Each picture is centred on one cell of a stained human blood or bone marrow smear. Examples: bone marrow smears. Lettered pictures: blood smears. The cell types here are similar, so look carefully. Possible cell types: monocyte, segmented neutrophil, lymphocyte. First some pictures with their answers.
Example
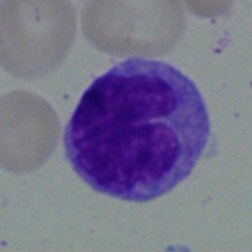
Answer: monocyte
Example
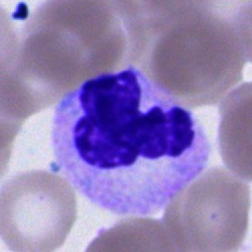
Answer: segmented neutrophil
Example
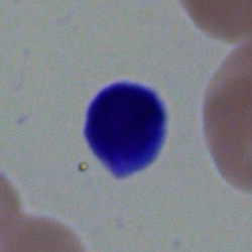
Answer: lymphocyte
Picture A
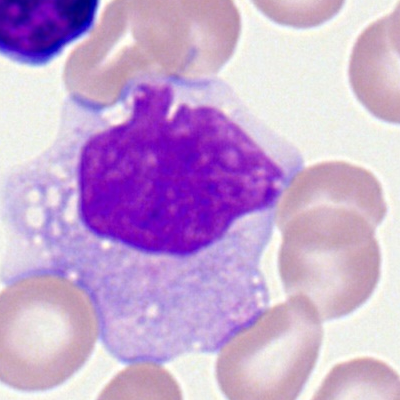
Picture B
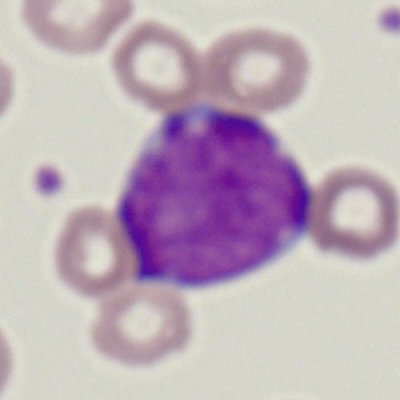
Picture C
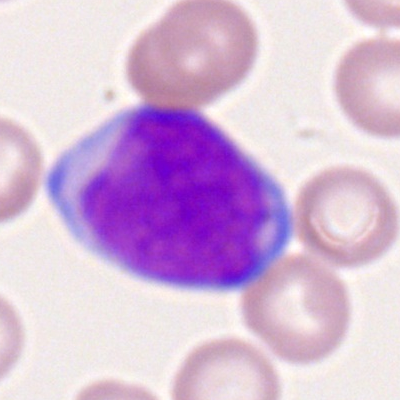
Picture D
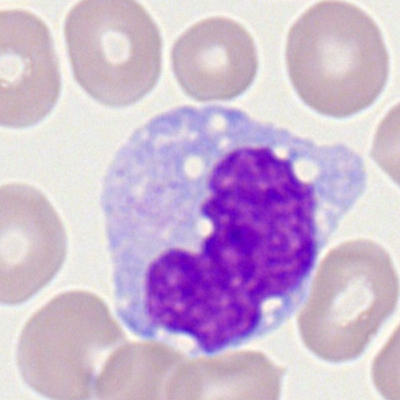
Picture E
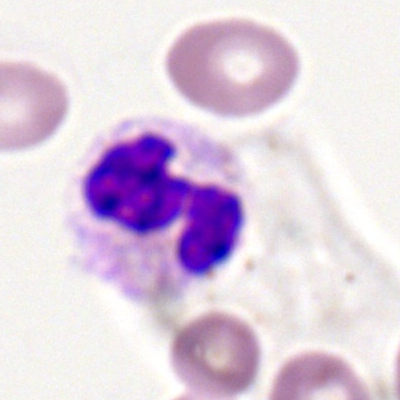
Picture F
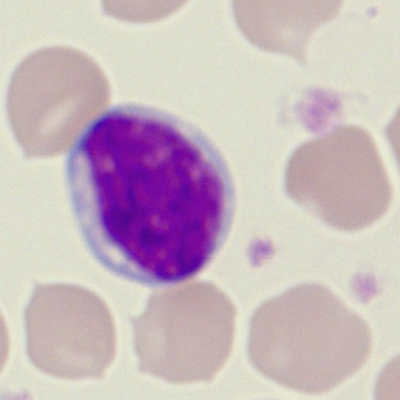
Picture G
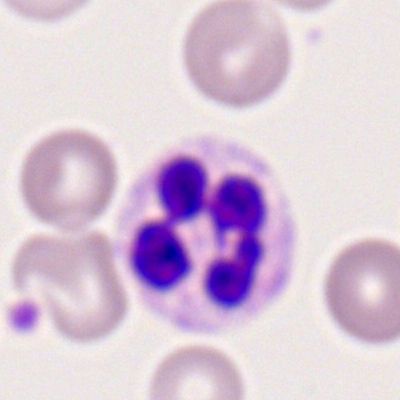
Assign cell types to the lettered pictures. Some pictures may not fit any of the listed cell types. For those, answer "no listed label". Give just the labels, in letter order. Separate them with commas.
monocyte, no listed label, no listed label, monocyte, segmented neutrophil, lymphocyte, segmented neutrophil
